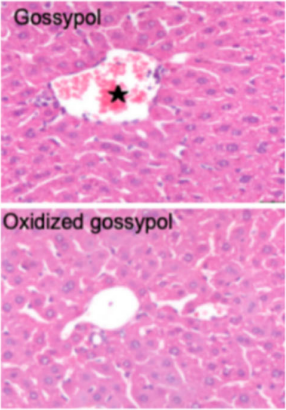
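These are sections of liver showing hepatocytes arranged in plates around a central vein. The hepatocytes are polygonal with pink cytoplasm and round, centrally placed purple nuclei, and narrow pale sinusoids run between the plates. In the upper image the vein lumen is filled with bright red blood cells, and a few small dark nuclei lie along its wall. In the lower image the vein is open and empty, with the surrounding hepatocyte plates looking similar in arrangement.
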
